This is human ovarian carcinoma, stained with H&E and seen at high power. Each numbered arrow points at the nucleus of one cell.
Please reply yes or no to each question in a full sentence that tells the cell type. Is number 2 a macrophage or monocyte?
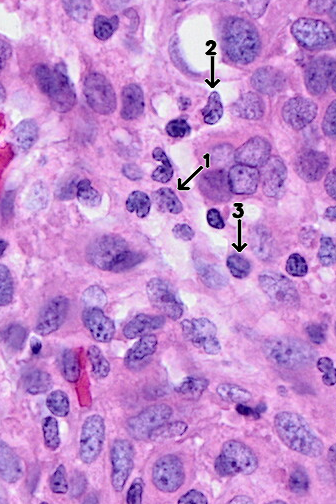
Yes, on this slide, the cell with number 2 is a macrophage or monocyte.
